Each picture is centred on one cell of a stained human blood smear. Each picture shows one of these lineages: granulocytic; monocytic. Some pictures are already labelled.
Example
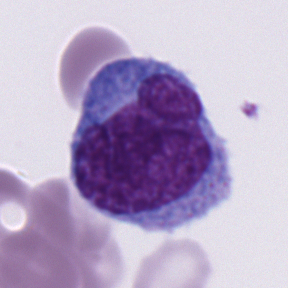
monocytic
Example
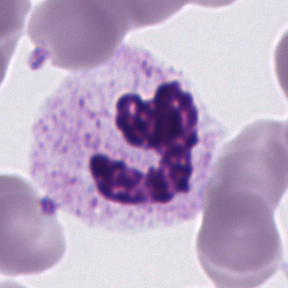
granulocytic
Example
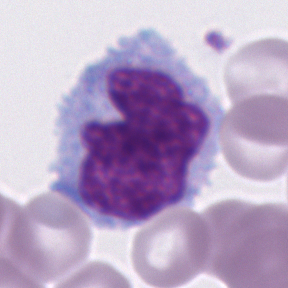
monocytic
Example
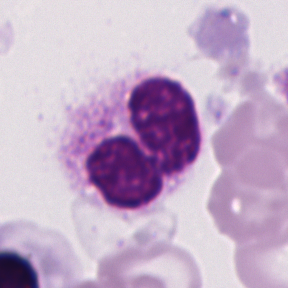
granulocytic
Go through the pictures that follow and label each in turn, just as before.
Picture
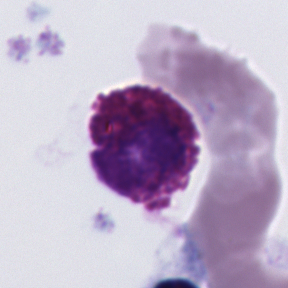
granulocytic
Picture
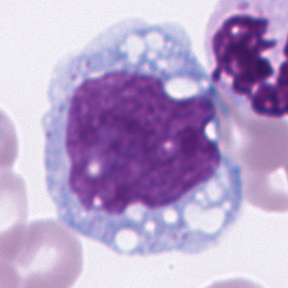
monocytic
